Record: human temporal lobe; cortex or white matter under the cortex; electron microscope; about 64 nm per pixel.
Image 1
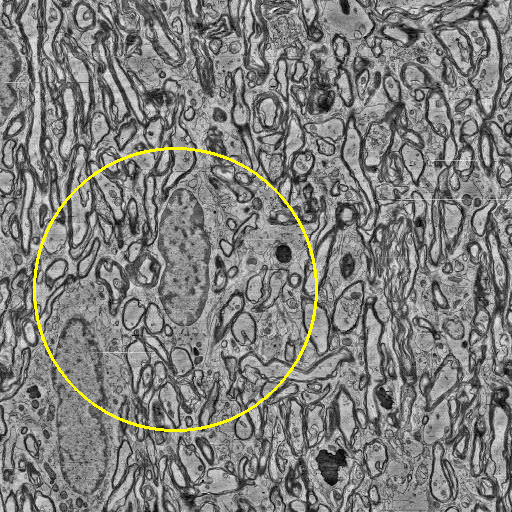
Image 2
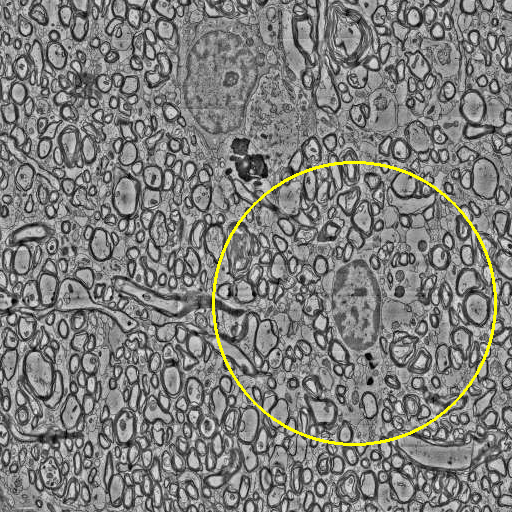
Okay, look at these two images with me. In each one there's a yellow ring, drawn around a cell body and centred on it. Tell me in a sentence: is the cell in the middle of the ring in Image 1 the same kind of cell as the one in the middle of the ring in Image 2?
Yes, they're the same kind of cell.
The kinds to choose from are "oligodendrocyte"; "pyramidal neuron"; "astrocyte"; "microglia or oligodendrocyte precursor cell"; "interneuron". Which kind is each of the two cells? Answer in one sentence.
In the first picture and in the second, the ring is centred on a microglial cell or oligodendrocyte precursor cell.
